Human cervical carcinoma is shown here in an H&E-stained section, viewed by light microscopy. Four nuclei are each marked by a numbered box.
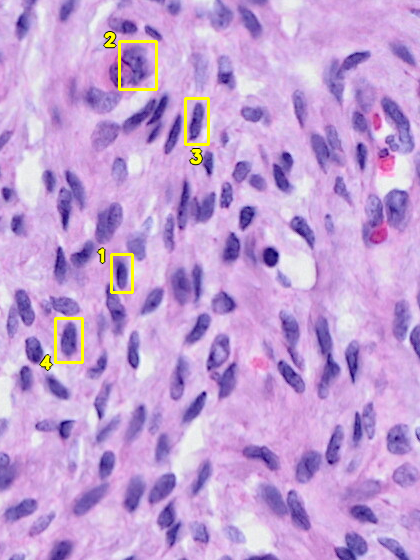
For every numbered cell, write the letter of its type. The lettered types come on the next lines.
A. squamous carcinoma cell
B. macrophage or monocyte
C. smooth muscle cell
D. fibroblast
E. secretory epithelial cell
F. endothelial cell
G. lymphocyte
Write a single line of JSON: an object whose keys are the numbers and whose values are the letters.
{"1": "D", "2": "F", "3": "D", "4": "D"}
